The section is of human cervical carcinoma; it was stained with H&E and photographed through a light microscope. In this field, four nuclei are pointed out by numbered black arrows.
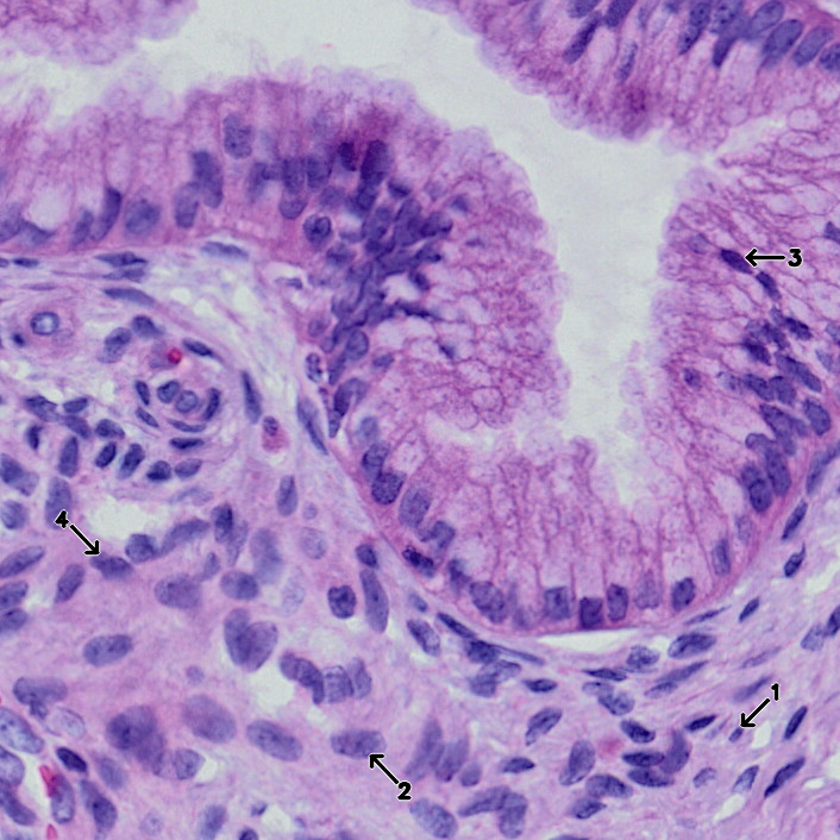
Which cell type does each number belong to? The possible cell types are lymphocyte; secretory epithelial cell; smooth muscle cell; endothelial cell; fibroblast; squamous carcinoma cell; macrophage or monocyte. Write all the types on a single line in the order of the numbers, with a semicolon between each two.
fibroblast; fibroblast; secretory epithelial cell; fibroblast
